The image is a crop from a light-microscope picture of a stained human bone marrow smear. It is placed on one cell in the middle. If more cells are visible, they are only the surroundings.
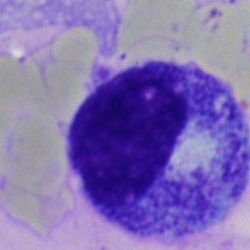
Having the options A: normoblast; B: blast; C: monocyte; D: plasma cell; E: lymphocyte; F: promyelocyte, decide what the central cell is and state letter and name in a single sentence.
The correct identification, given in option F, is that the central cell is a promyelocyte.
